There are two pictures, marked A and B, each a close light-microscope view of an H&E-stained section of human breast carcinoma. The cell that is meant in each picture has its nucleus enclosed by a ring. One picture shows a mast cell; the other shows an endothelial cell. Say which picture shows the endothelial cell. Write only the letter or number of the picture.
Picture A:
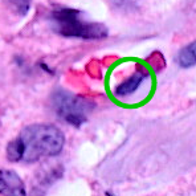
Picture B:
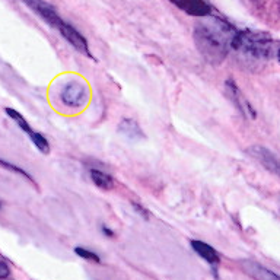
A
